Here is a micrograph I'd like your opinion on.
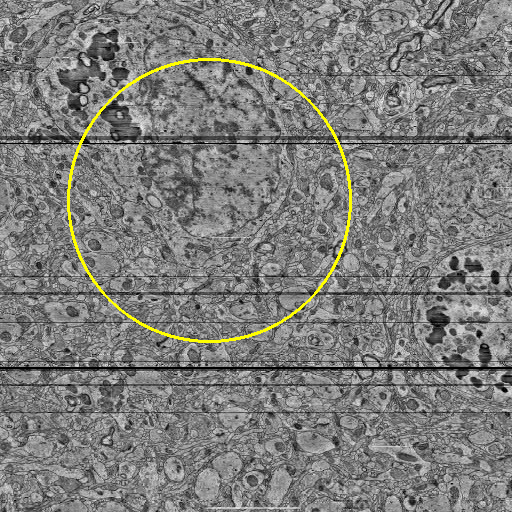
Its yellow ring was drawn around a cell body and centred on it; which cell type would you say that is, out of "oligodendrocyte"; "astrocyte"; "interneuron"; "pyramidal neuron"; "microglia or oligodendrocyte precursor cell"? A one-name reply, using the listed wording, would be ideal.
interneuron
